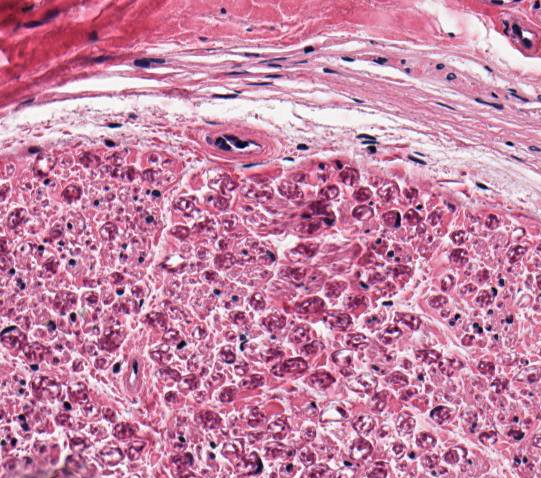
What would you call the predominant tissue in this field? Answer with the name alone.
nerve fascicle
